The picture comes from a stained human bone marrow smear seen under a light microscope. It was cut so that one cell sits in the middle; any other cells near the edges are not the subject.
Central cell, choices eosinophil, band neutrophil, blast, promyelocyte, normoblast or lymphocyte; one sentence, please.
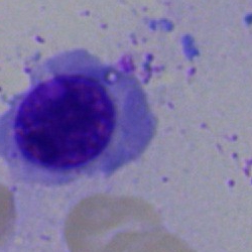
The centered cell in this crop is a normoblast.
